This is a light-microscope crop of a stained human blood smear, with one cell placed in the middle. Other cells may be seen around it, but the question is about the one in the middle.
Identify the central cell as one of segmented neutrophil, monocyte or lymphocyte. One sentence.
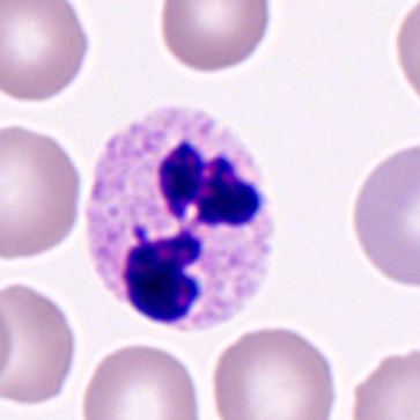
The identification for the central cell is a segmented neutrophil.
